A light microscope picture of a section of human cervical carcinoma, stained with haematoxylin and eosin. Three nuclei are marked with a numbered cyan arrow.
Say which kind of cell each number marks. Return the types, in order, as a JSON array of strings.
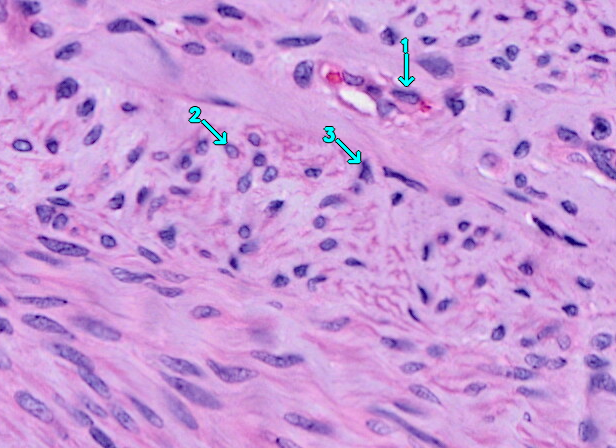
["endothelial cell", "smooth muscle cell", "fibroblast"]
